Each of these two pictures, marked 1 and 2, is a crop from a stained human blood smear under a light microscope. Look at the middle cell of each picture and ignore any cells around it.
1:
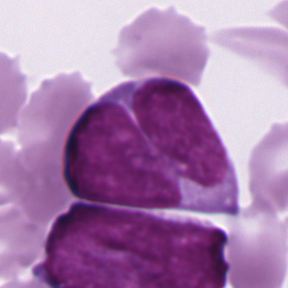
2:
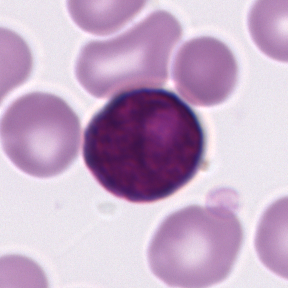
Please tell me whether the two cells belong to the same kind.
yes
